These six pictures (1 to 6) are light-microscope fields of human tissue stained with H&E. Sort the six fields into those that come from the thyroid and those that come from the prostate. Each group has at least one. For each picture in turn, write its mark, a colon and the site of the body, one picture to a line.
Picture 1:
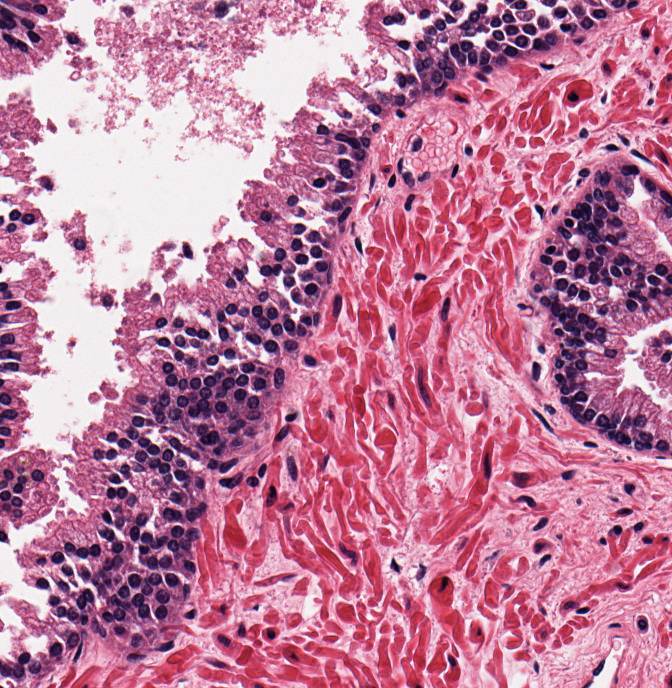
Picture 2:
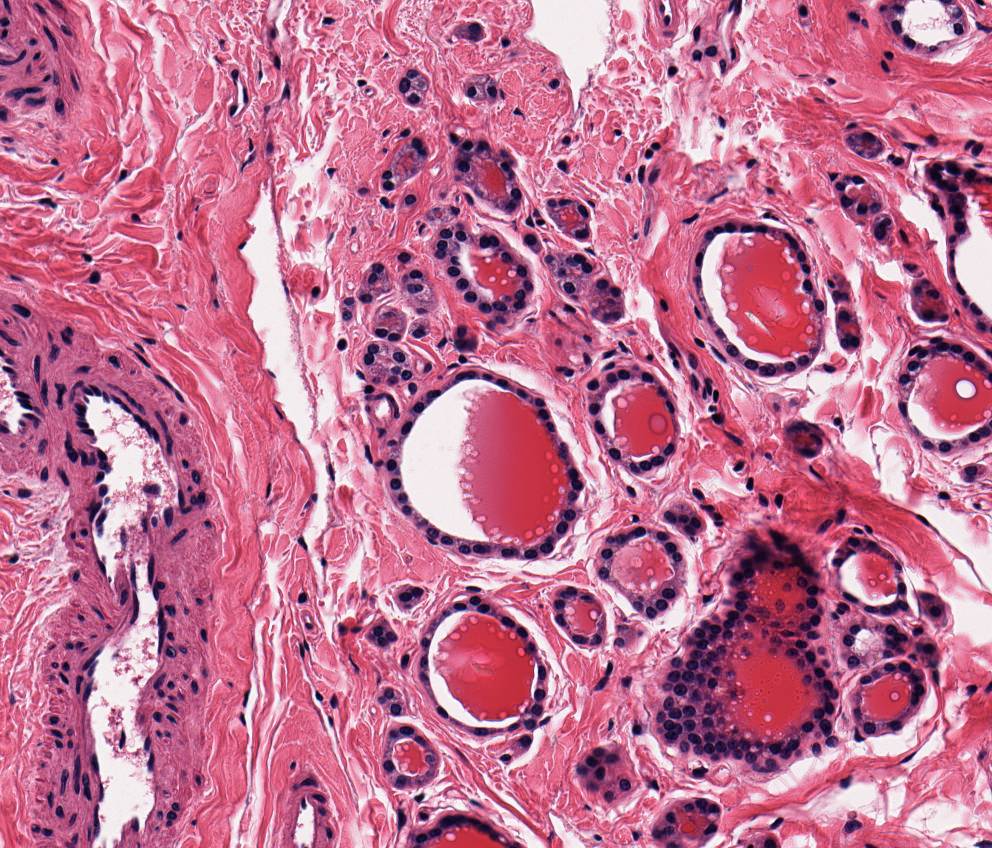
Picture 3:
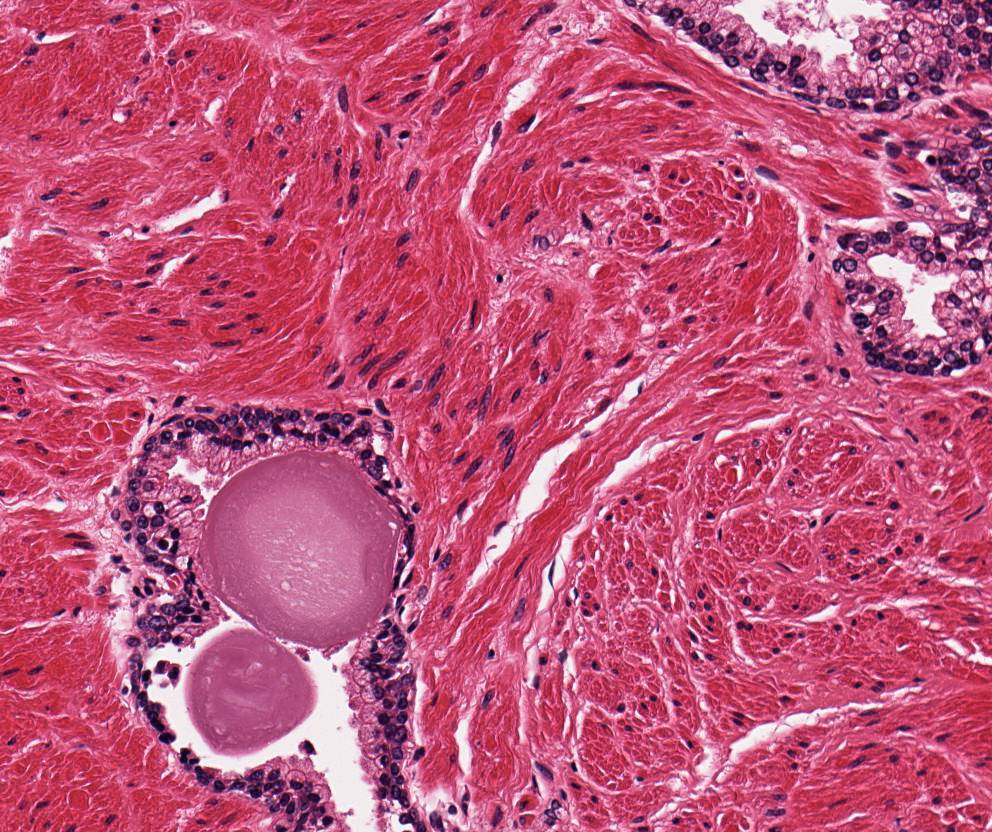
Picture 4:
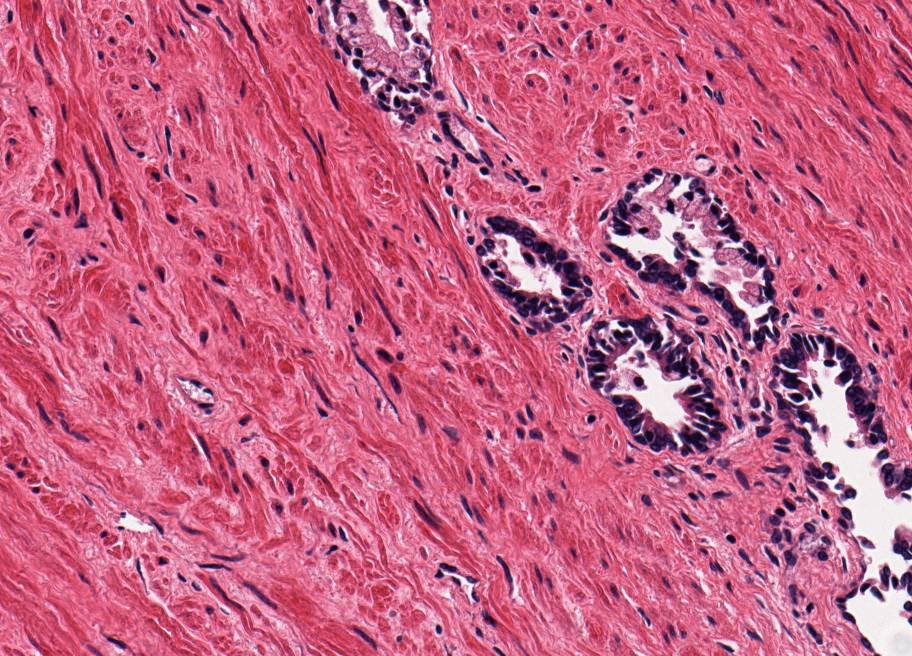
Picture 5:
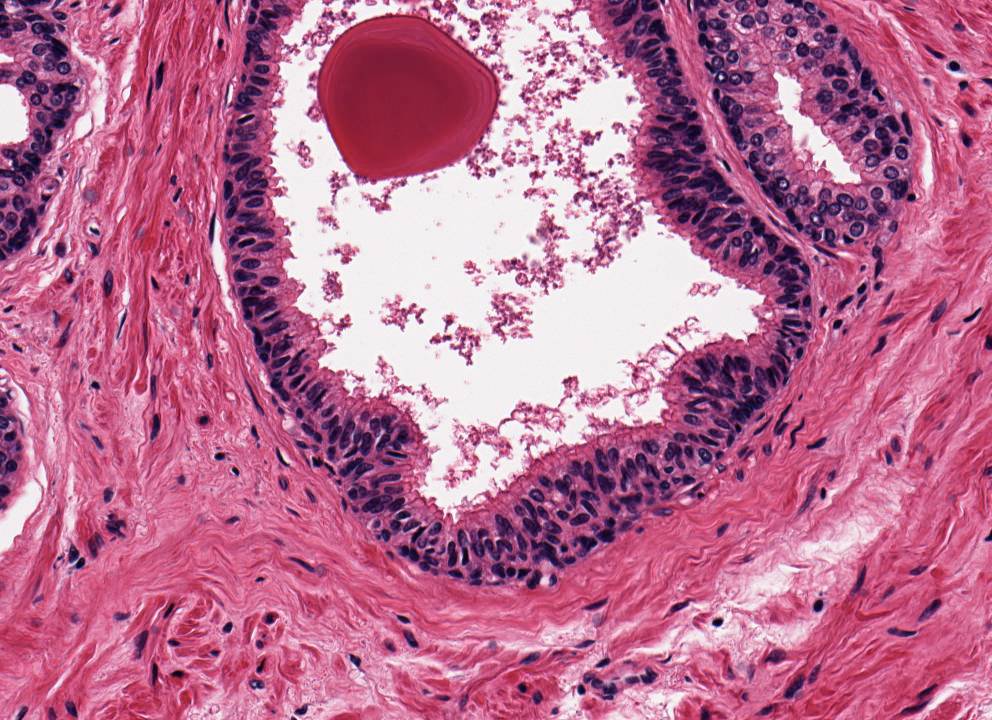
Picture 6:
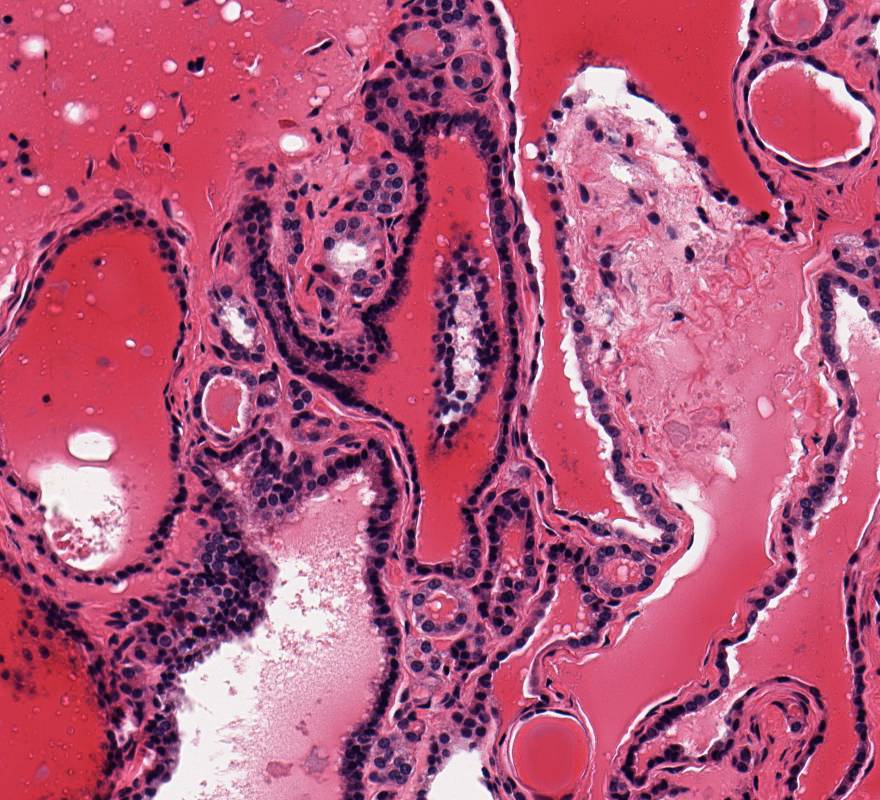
1: prostate
2: thyroid
3: prostate
4: prostate
5: prostate
6: thyroid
